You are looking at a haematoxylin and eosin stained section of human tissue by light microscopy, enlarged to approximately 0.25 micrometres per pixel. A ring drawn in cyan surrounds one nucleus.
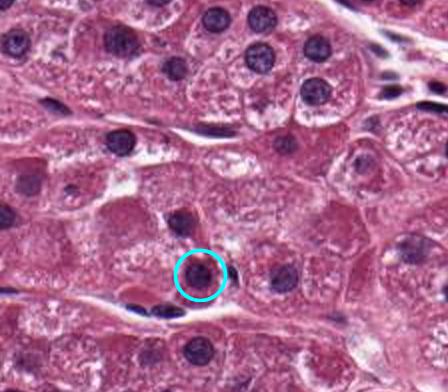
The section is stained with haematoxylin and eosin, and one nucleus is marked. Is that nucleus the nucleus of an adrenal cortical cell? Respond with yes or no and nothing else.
yes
